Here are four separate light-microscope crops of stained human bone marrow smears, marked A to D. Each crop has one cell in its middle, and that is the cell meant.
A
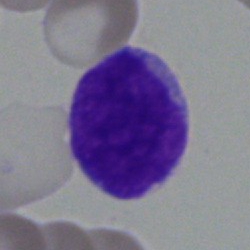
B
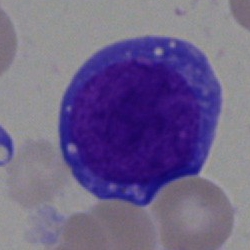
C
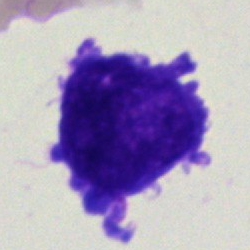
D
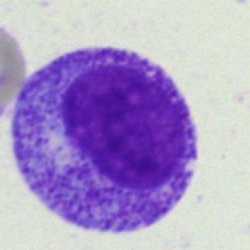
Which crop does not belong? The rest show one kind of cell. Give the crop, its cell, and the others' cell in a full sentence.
In crop D the central cell is a myelocyte, whereas the other crops all contain blasts.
